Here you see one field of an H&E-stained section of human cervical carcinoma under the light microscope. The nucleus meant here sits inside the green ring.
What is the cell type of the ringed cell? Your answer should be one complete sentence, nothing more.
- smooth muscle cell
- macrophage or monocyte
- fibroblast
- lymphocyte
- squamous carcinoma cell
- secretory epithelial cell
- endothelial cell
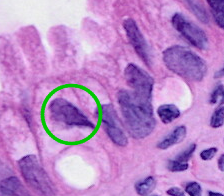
As for its identity, the ringed cell is a secretory epithelial cell.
